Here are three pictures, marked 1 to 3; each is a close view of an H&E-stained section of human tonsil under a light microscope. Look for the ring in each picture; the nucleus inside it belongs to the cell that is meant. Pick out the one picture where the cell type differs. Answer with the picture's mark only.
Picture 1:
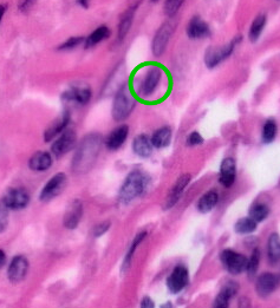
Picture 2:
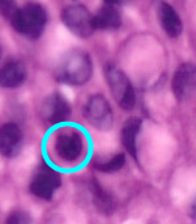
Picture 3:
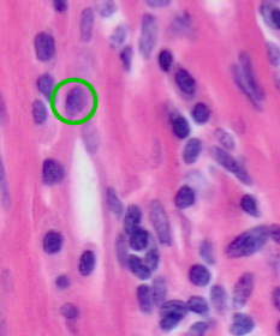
2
